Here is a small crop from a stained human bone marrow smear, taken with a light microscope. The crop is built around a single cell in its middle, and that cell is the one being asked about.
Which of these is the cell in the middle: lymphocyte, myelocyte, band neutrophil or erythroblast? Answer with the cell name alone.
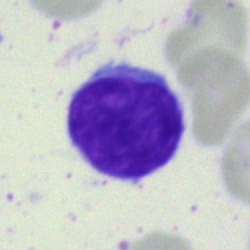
lymphocyte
